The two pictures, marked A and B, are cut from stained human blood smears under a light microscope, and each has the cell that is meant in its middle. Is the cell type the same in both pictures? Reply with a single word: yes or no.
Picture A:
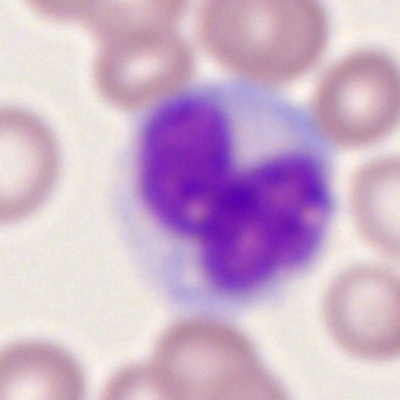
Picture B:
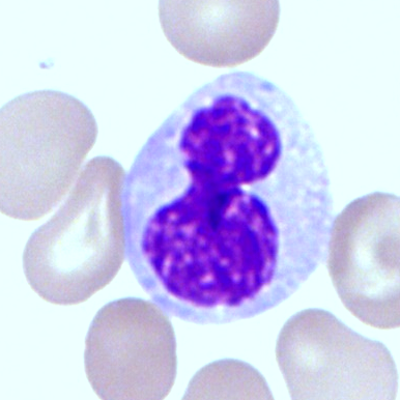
yes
